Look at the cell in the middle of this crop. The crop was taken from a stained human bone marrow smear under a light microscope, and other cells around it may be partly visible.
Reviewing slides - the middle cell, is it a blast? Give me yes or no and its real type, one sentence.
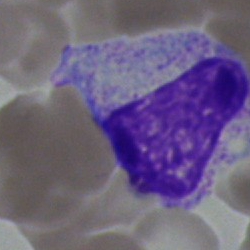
No, in the middle of the crop there is a myelocyte rather than a blast.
